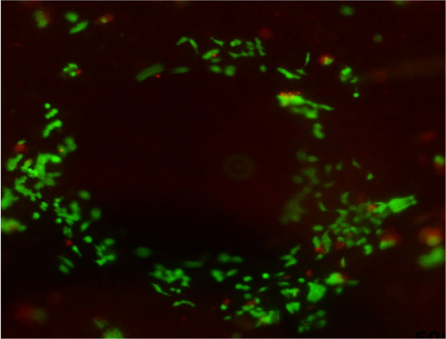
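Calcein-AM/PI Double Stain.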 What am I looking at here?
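Cells on a dark background under fluorescence, most of them glowing bright green and a few showing small red spots. The green cells are elongated to spindle-shaped or irregular. They lie singly or in small clusters and are spread unevenly across the field. They are densest along the left, lower and right parts of the field and roughly encircle a darker central region that holds few cells. The red spots are few, scattered and small, and some lie next to green cells. No fine inner structure of the cells can be made out.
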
